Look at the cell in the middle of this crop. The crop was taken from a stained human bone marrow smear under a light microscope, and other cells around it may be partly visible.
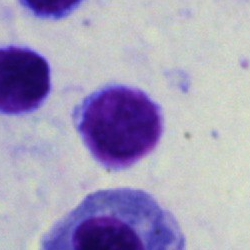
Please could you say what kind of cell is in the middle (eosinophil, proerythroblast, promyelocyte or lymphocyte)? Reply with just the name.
lymphocyte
